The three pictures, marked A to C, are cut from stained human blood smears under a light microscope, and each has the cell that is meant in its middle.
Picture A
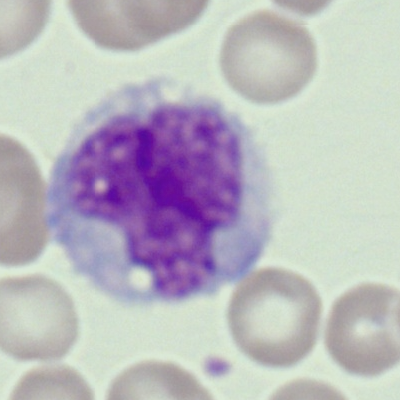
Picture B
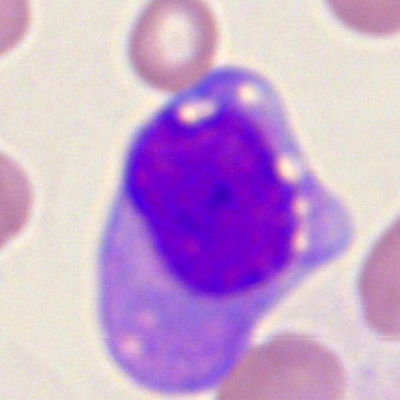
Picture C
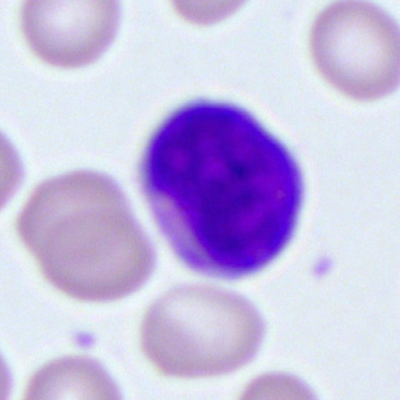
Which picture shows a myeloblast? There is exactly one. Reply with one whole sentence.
The picture with the myeloblast is C.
